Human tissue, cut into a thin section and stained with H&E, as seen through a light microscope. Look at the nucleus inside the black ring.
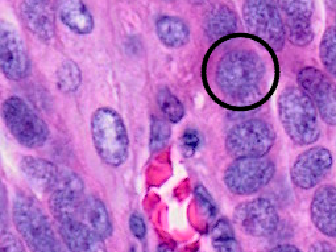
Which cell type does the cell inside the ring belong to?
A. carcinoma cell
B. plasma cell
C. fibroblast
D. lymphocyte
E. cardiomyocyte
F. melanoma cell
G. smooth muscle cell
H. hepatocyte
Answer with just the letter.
A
